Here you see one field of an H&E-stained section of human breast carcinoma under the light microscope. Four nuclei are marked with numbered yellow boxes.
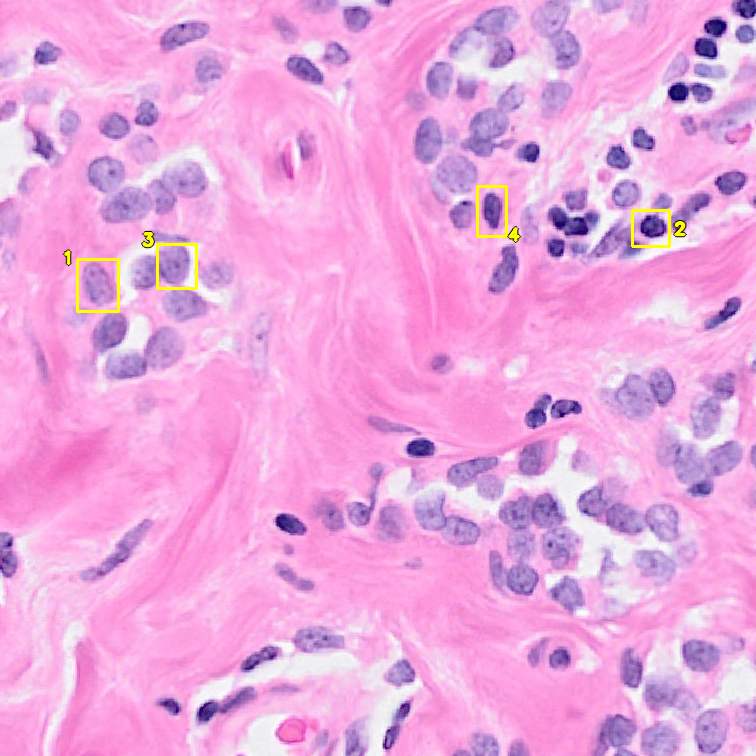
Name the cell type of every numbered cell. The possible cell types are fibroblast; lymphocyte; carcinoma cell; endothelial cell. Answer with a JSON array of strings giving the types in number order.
["carcinoma cell", "lymphocyte", "carcinoma cell", "lymphocyte"]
